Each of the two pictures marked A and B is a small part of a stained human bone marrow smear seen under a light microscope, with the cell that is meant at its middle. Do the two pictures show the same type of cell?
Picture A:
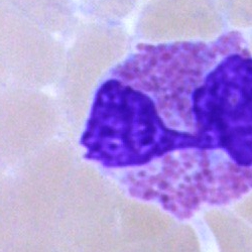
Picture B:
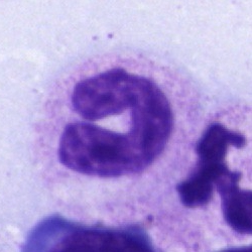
no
